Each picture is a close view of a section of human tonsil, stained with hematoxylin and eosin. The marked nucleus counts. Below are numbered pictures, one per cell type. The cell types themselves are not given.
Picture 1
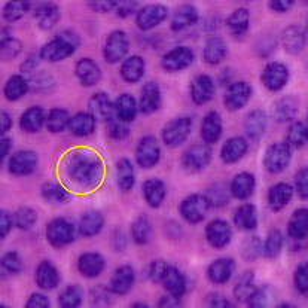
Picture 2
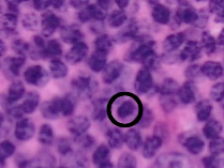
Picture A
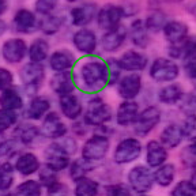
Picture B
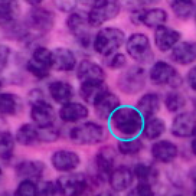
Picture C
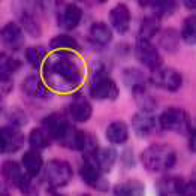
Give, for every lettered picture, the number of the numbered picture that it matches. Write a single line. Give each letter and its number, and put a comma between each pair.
A 2, B 2, C 2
